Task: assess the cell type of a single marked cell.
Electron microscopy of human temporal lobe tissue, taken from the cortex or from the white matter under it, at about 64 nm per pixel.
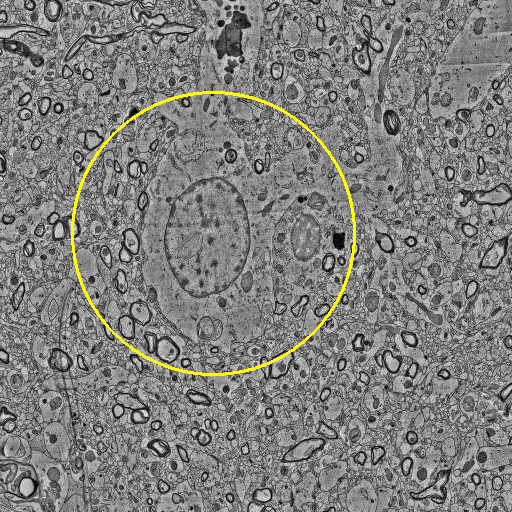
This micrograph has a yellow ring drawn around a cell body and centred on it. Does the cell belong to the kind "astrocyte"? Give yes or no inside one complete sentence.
Yes, the marked cell at the centre of the ring belongs to that kind.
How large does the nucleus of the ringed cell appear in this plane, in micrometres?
The nucleus comes to roughly 8 by 5 micrometres in this plane.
